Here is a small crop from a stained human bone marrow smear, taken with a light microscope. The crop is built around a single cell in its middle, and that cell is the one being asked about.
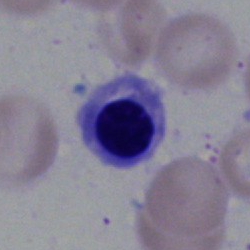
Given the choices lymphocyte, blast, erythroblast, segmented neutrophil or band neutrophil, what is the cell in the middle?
erythroblast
